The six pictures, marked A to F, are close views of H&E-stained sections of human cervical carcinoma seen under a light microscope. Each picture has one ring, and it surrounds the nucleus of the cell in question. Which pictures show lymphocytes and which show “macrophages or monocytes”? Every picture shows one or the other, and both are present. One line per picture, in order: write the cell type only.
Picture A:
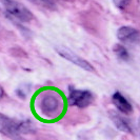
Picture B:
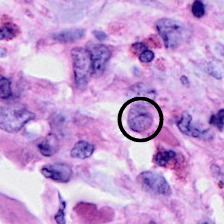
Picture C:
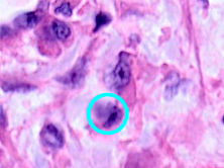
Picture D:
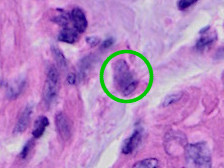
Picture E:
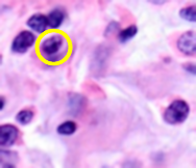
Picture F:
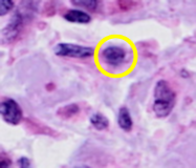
macrophage or monocyte
macrophage or monocyte
macrophage or monocyte
macrophage or monocyte
lymphocyte
lymphocyte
